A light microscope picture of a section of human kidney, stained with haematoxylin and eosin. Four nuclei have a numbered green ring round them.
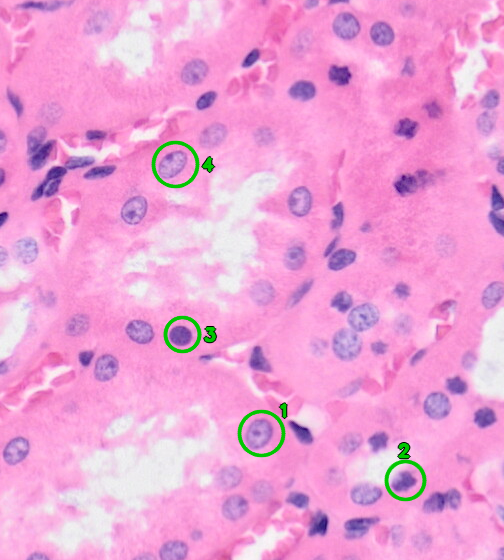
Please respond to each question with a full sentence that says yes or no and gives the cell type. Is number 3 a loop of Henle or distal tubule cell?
No, the cell at marker 3 is not a loop of Henle or distal tubule cell; it is a proximal tubule cell.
